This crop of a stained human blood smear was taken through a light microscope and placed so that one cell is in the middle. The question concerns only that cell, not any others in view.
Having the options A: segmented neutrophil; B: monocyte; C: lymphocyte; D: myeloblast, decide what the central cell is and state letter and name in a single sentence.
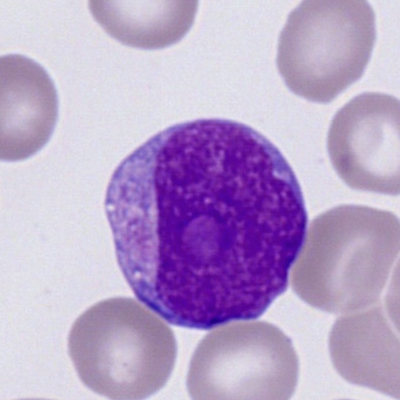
The expected answer is option D, the central cell being a myeloblast.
